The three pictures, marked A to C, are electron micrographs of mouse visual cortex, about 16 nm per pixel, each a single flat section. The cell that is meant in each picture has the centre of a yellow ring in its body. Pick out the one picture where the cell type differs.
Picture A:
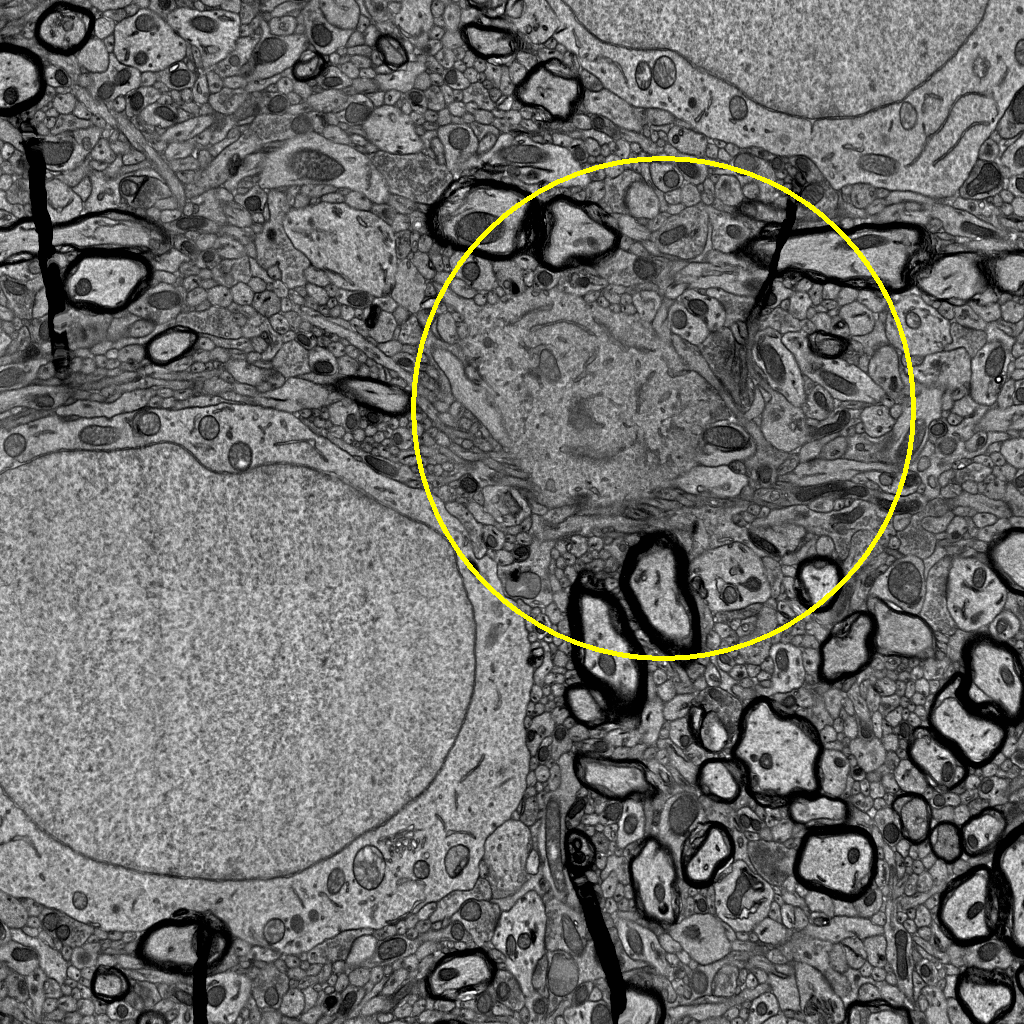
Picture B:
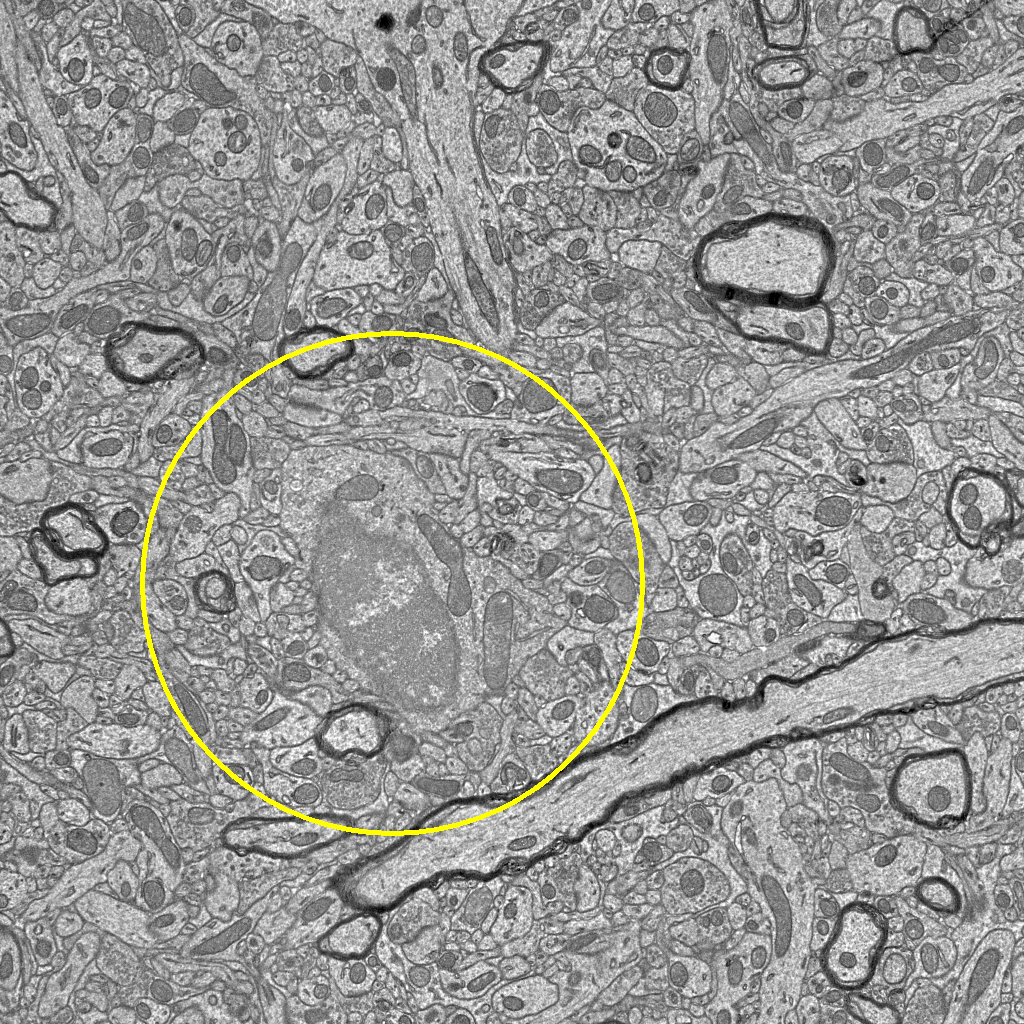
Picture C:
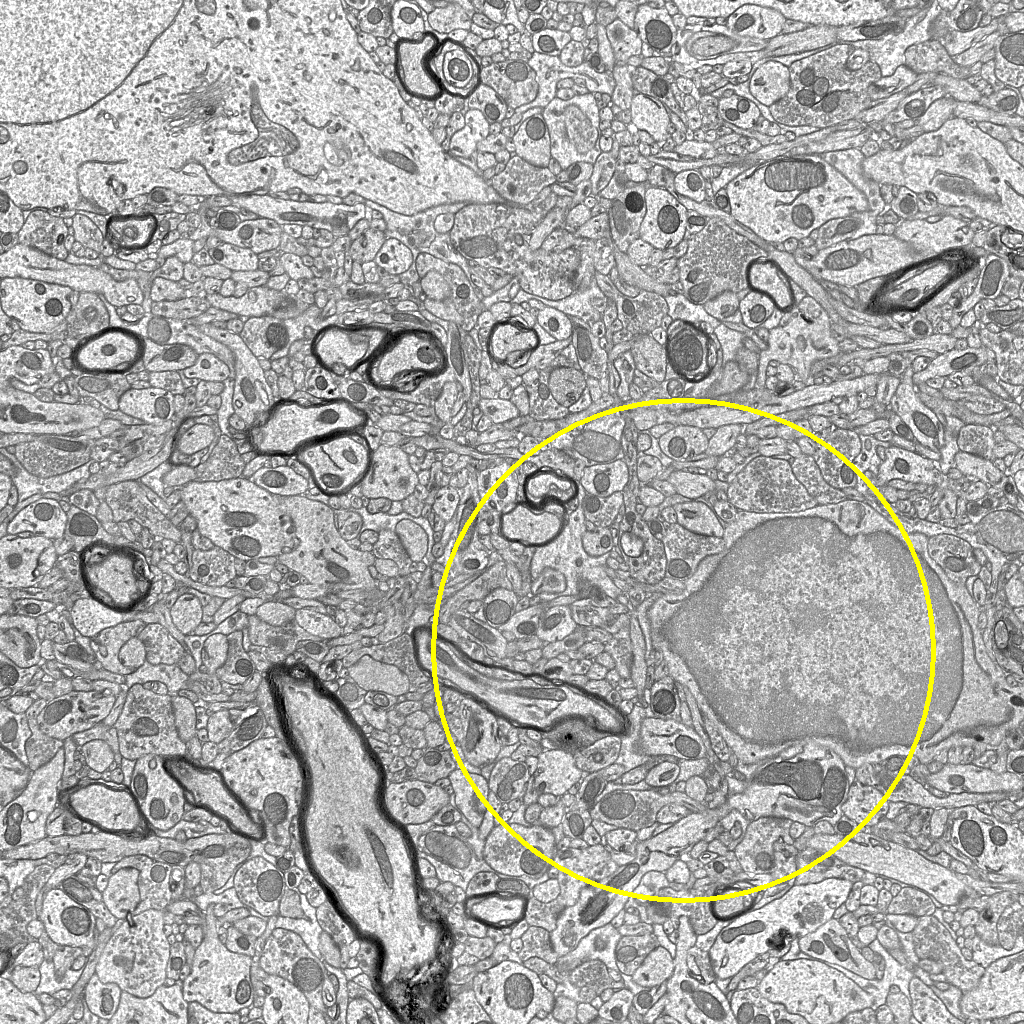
Unlike the rest, which show oligodendrocytes, picture C shows a microglial cell.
